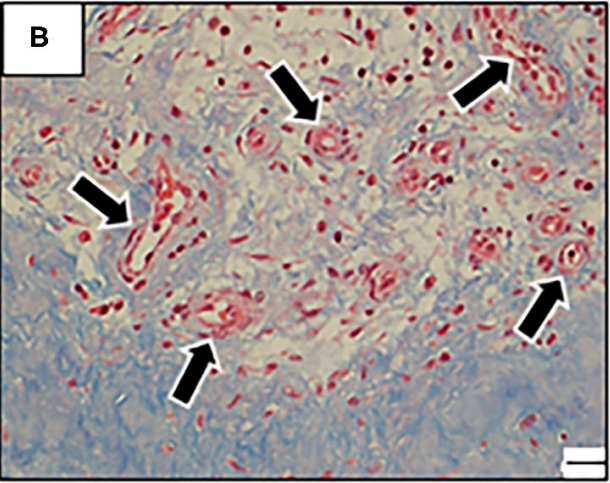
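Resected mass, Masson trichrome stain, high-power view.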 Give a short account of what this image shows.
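The vessels have small round or slit-like lumina surrounded by red-staining walls with plump nuclei. Between the vessels, scattered cells with dark red round or elongated nuclei lie in a pale, loose stroma. Denser blue collagen surrounds this vascular area toward the lower and left sides.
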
